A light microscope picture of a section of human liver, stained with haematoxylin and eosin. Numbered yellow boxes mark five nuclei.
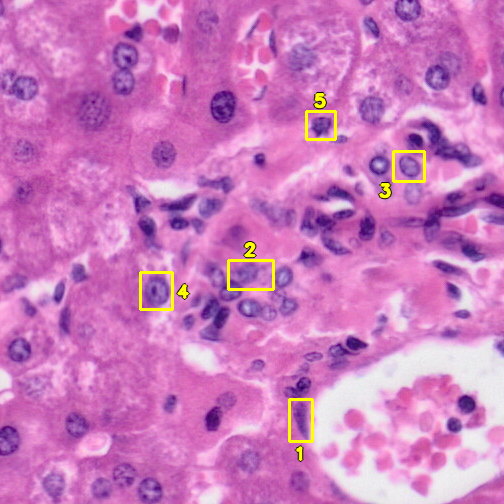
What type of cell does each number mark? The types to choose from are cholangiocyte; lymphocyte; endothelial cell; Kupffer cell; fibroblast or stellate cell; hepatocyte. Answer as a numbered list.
1. fibroblast or stellate cell
2. cholangiocyte
3. cholangiocyte
4. hepatocyte
5. fibroblast or stellate cell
